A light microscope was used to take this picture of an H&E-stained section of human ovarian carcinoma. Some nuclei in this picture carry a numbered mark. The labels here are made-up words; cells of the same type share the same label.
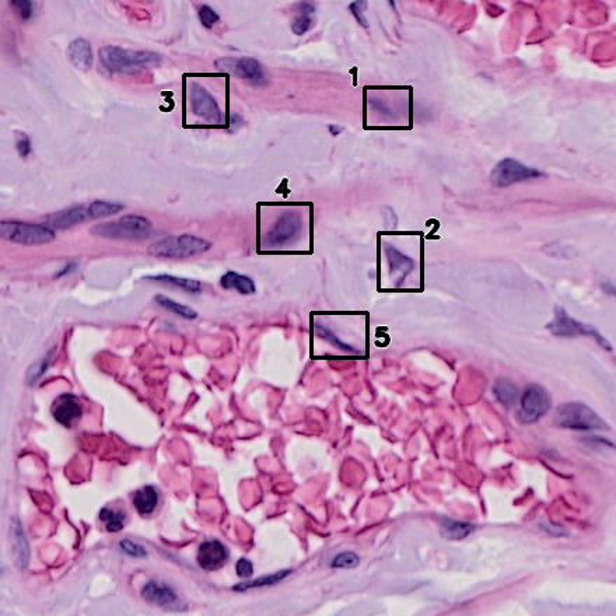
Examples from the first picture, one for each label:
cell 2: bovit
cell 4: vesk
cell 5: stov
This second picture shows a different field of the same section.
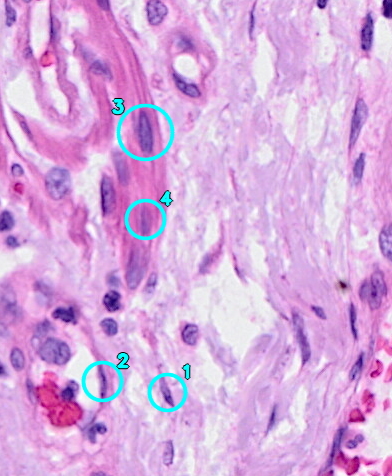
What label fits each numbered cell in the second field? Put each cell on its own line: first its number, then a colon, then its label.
1: bovit
2: stov
3: vesk
4: vesk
